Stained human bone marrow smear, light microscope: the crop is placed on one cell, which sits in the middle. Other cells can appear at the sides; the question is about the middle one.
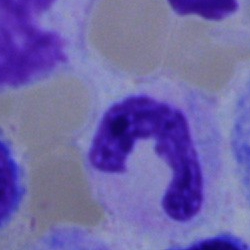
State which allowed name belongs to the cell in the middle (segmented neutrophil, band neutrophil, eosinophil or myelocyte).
segmented neutrophil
